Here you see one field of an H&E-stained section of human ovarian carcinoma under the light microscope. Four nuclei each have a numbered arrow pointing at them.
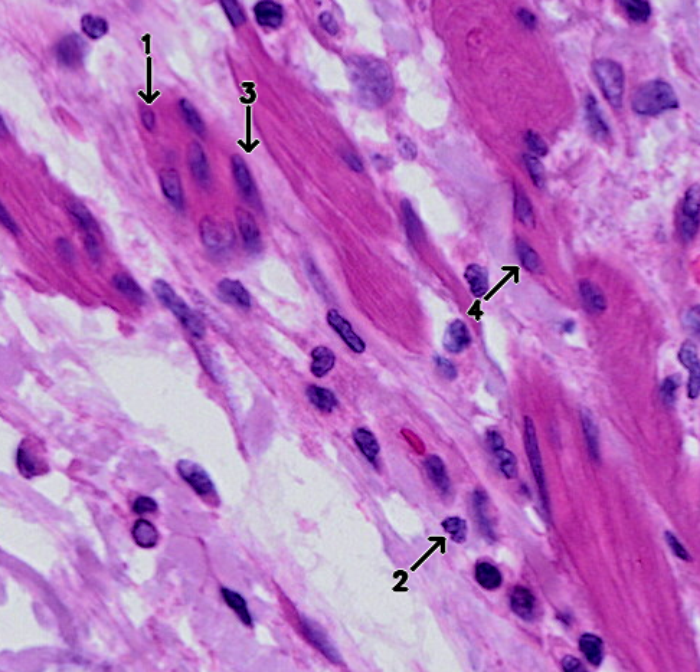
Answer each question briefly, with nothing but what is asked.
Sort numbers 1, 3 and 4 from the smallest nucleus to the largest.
1, 4, 3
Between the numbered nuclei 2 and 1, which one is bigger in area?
2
